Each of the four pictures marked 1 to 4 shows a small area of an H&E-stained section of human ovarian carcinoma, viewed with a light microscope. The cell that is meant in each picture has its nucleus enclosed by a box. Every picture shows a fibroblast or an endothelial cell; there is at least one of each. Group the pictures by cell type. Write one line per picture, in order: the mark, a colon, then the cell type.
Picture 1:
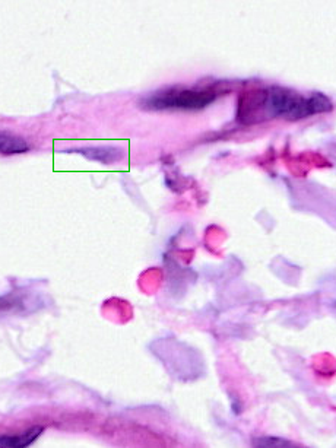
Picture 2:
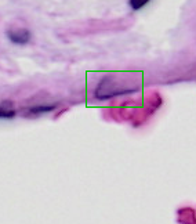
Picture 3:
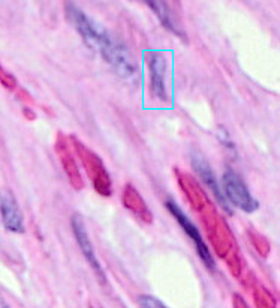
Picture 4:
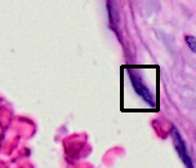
1: endothelial cell
2: endothelial cell
3: fibroblast
4: endothelial cell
